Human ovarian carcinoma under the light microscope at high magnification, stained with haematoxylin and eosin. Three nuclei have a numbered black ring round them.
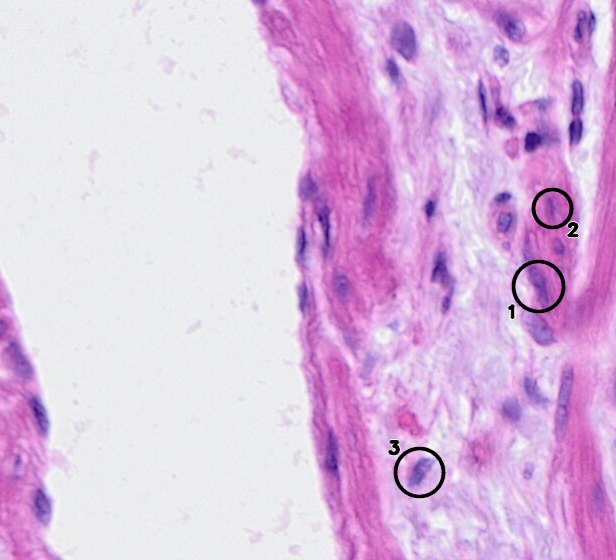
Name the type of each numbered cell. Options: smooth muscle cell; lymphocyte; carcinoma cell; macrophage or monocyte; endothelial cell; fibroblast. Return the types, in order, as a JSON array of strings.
["smooth muscle cell", "smooth muscle cell", "macrophage or monocyte"]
